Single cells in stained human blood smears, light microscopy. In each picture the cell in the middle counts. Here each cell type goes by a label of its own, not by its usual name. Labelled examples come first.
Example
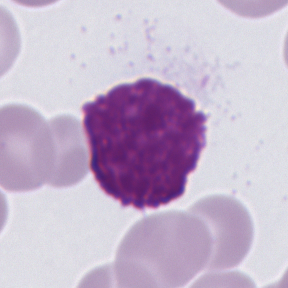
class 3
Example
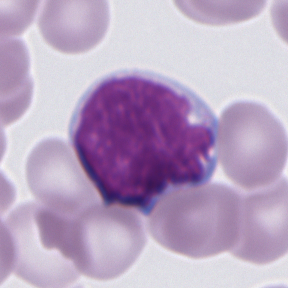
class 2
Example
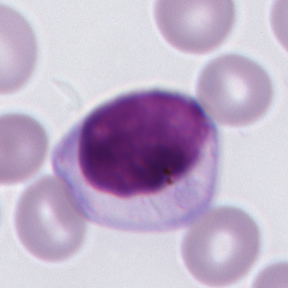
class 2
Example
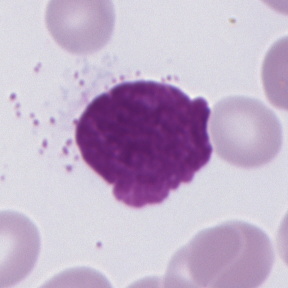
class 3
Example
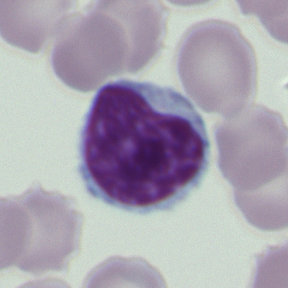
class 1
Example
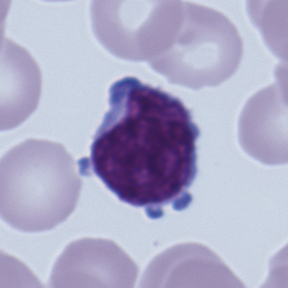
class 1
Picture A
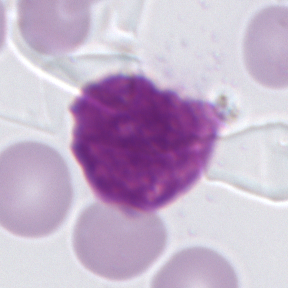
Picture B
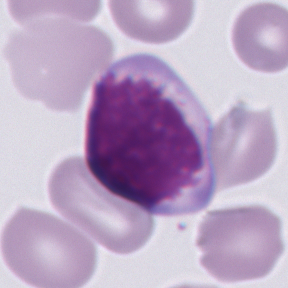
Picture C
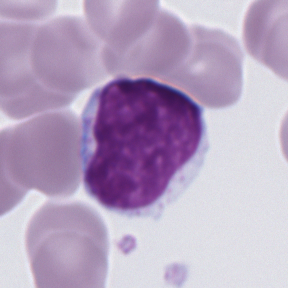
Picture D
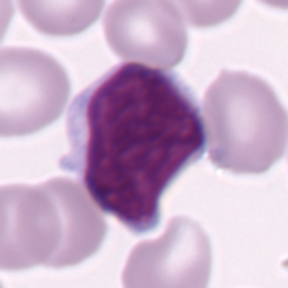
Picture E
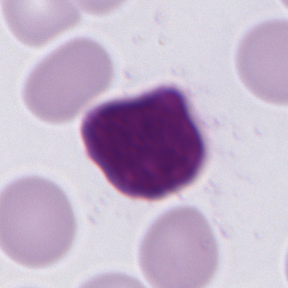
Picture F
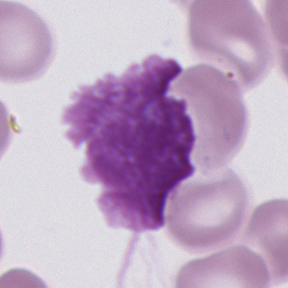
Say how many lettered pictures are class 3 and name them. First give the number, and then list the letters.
3, namely A, E, F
